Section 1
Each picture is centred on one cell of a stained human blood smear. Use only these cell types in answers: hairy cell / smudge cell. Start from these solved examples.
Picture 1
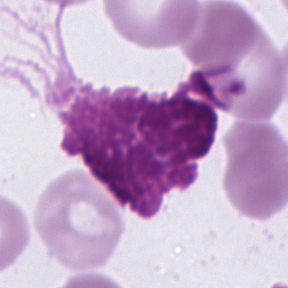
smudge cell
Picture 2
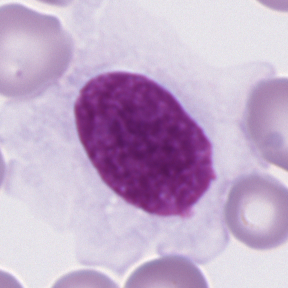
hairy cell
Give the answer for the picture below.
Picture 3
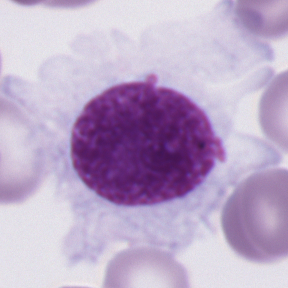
hairy cell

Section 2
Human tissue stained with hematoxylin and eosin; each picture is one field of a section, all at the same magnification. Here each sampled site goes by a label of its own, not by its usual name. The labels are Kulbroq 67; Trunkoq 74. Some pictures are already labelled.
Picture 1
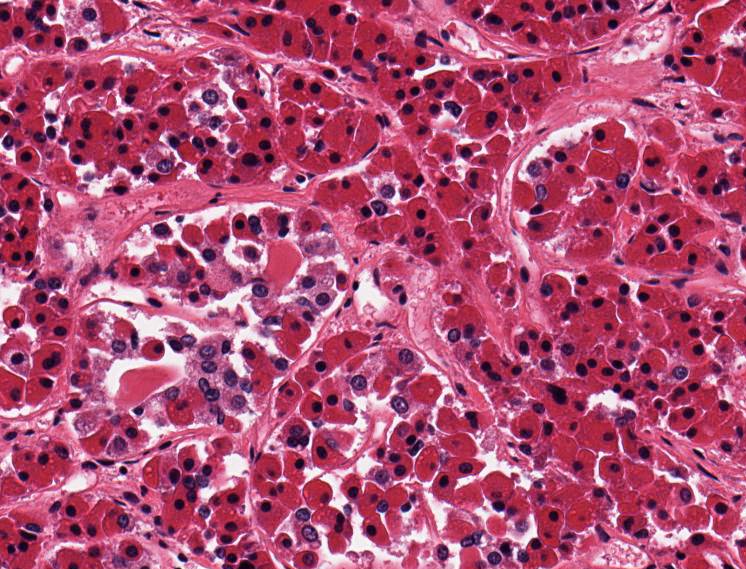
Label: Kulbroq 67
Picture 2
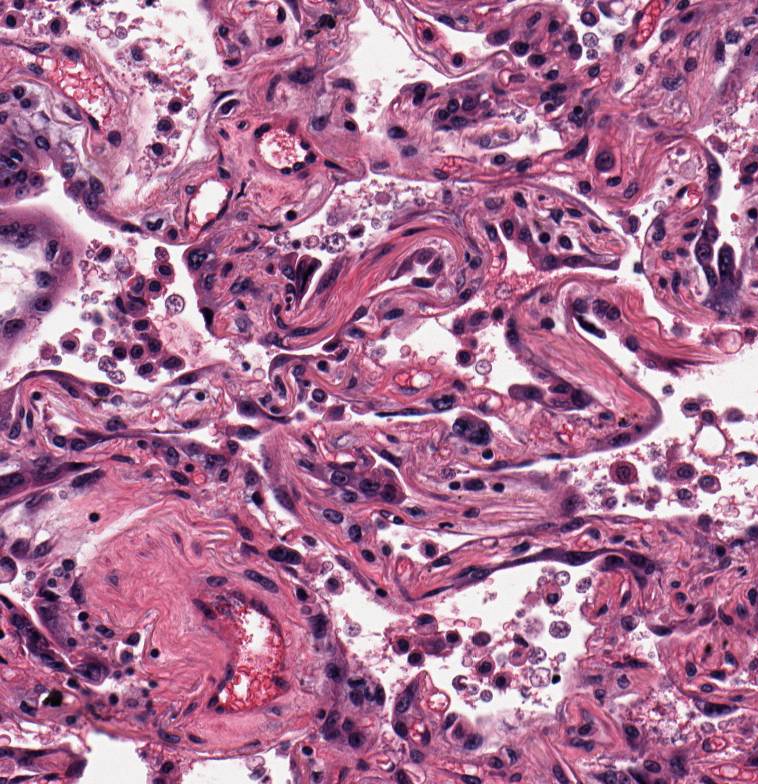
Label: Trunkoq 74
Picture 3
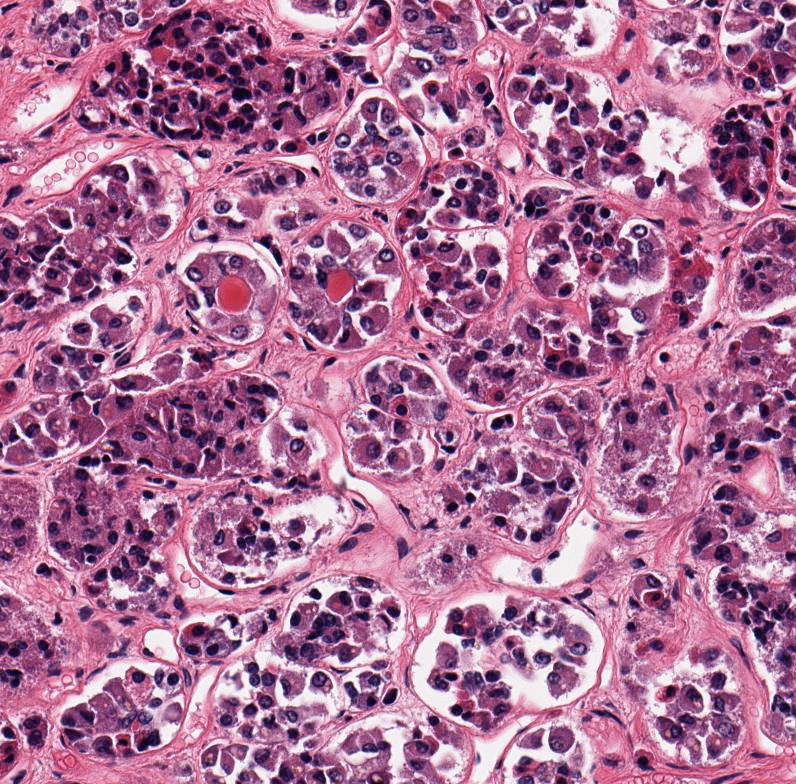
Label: Kulbroq 67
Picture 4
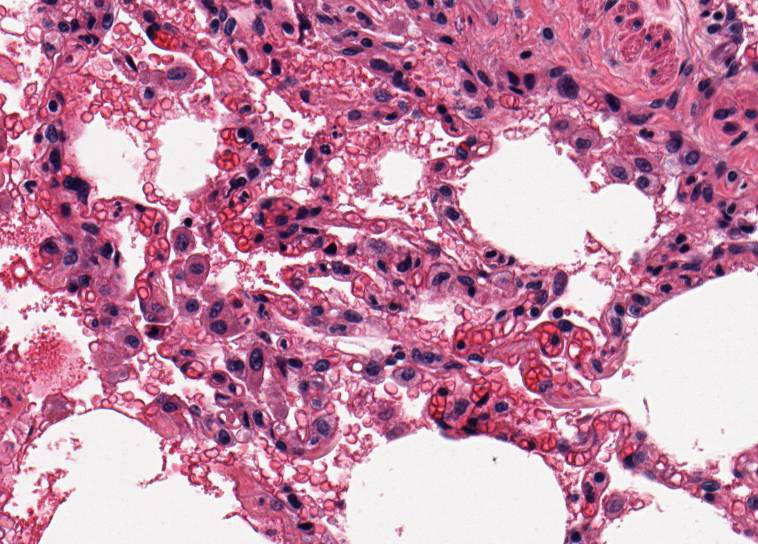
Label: Trunkoq 74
